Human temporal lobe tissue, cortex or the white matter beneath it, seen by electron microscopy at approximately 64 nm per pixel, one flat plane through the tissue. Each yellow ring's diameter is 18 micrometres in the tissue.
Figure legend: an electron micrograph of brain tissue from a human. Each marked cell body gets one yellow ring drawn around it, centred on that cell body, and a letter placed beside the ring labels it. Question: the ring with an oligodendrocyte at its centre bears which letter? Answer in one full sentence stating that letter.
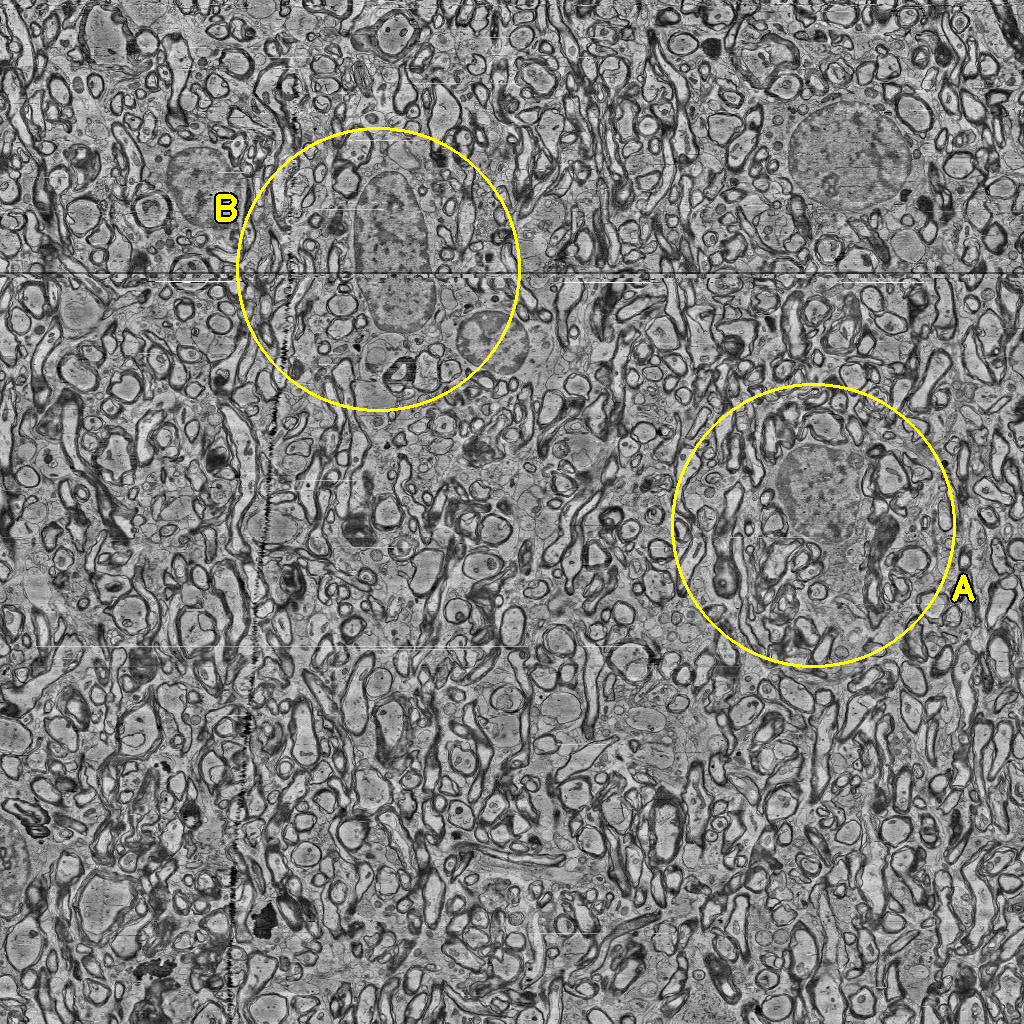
Labelled A is the ring whose centre holds the cell asked for in this picture.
